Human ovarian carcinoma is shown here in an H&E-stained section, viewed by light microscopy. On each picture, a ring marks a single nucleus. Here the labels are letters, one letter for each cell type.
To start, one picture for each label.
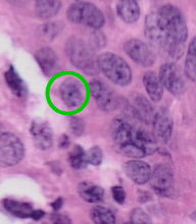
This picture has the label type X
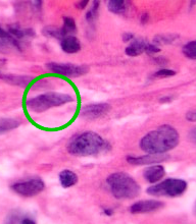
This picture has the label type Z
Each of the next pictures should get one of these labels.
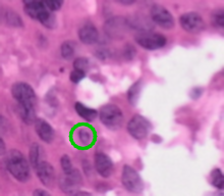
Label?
type X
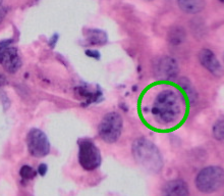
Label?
type X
